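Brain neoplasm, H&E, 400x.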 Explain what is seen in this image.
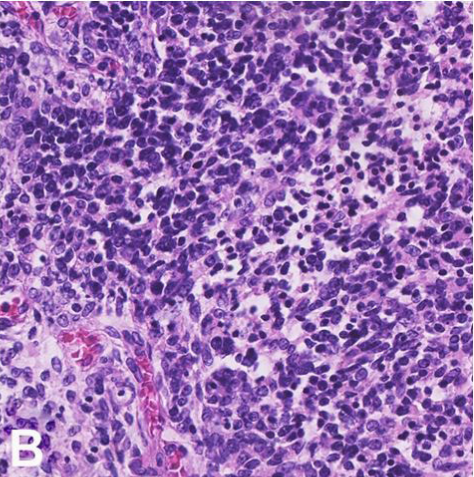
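The nuclei are dark, round to oval and crowded, with scant cytoplasm around them. Nuclei vary somewhat in size and many overlap. Thin vessels containing red blood cells run along the lower left edge. Small pale gaps interrupt the sheets in places.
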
